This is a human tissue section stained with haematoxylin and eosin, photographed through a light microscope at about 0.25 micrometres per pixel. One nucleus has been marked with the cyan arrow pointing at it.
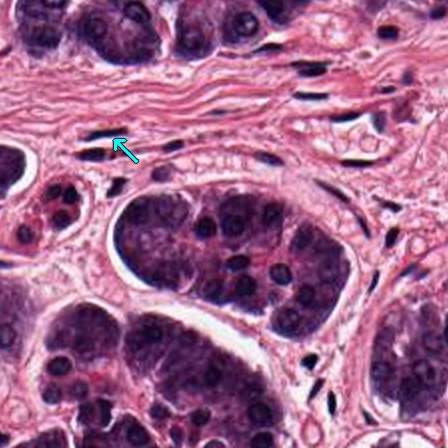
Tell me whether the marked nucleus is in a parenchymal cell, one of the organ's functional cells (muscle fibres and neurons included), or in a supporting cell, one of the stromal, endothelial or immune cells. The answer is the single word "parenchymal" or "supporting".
supporting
